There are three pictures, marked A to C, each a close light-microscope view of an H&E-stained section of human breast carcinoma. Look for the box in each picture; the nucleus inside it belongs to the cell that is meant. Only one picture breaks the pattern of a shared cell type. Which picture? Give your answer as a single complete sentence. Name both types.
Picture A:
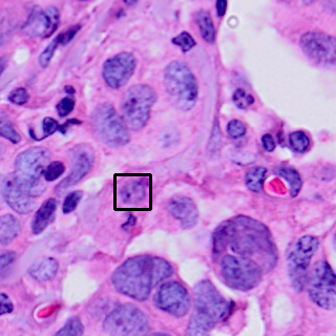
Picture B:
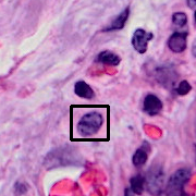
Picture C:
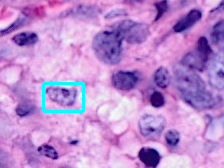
The different one is picture B; it shows a mast cell, whereas all the others show “macrophages, monocytes or dendritic cells”.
